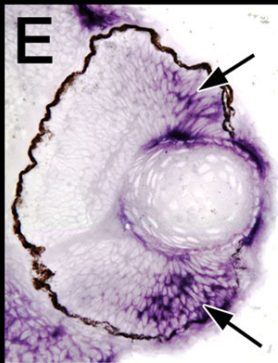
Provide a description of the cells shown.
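A pale rounded lens with concentric, elongated fiber cells sits in the opening of the cup. Purple staining is strongest in clusters of cells at the rims of the retina, above and below where it meets the lens, while the central retina is much paler.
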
